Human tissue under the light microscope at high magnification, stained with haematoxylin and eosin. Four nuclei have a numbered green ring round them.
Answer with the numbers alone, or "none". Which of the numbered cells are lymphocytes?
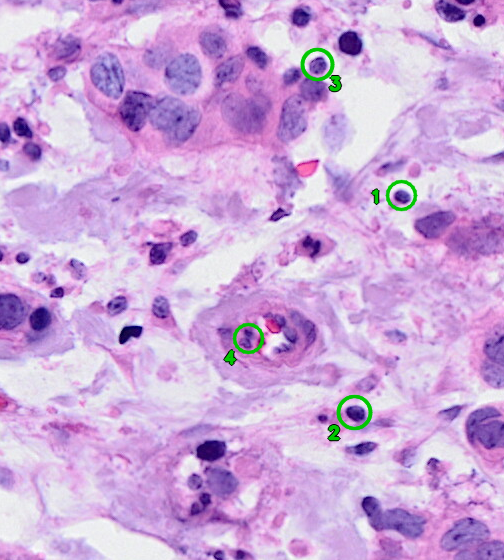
1, 2, 3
